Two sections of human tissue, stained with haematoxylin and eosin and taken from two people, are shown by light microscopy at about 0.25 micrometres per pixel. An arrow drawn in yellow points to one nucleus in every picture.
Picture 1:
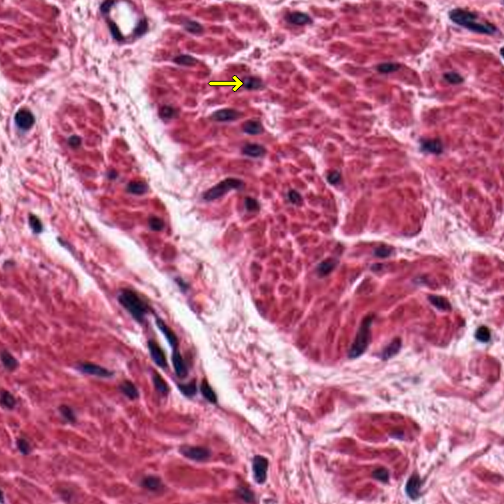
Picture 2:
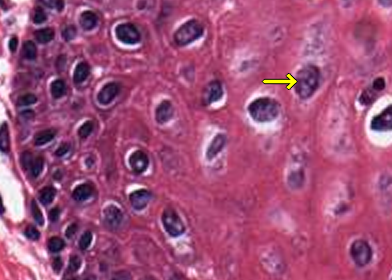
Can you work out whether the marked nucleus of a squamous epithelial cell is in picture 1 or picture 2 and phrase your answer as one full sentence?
The marked nucleus seen in picture 2 is that of a squamous epithelial cell.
